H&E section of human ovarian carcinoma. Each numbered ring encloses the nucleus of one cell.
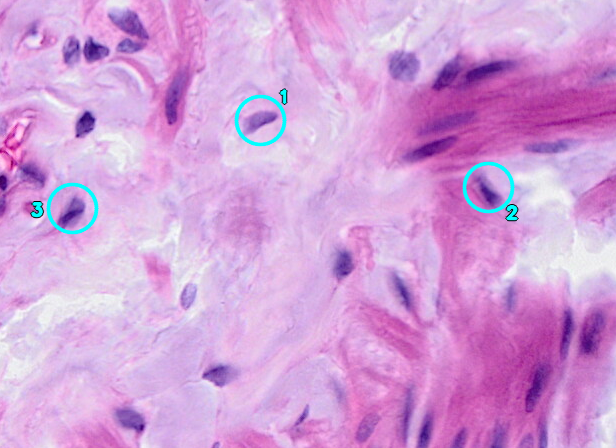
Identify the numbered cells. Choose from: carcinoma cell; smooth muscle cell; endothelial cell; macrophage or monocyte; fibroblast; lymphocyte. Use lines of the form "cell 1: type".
cell 1: fibroblast
cell 2: smooth muscle cell
cell 3: fibroblast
